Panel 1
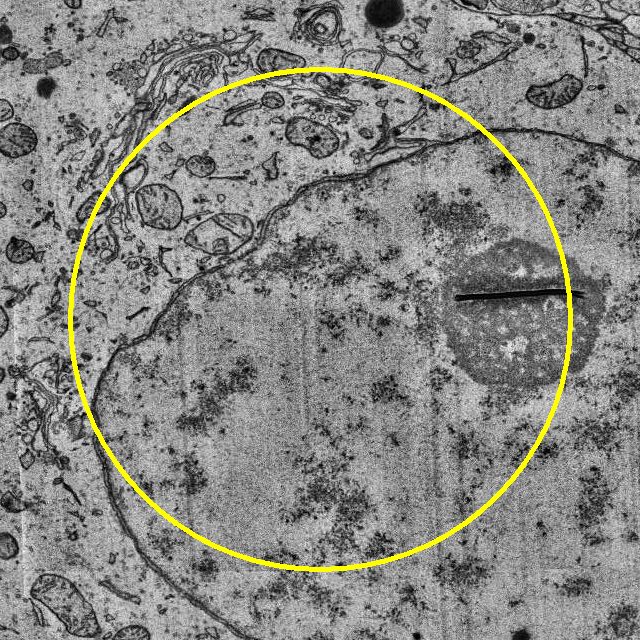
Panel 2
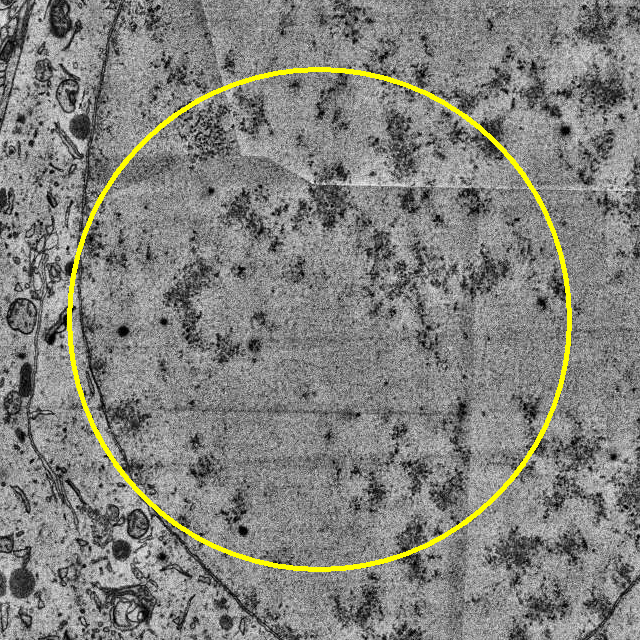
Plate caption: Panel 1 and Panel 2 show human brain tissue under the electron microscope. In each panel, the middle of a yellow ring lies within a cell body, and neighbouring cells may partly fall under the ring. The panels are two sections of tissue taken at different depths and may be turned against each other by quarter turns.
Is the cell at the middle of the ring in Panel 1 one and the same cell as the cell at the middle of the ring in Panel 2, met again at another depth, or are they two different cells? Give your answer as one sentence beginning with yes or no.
Yes, these two rings point to one cell rather than two.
